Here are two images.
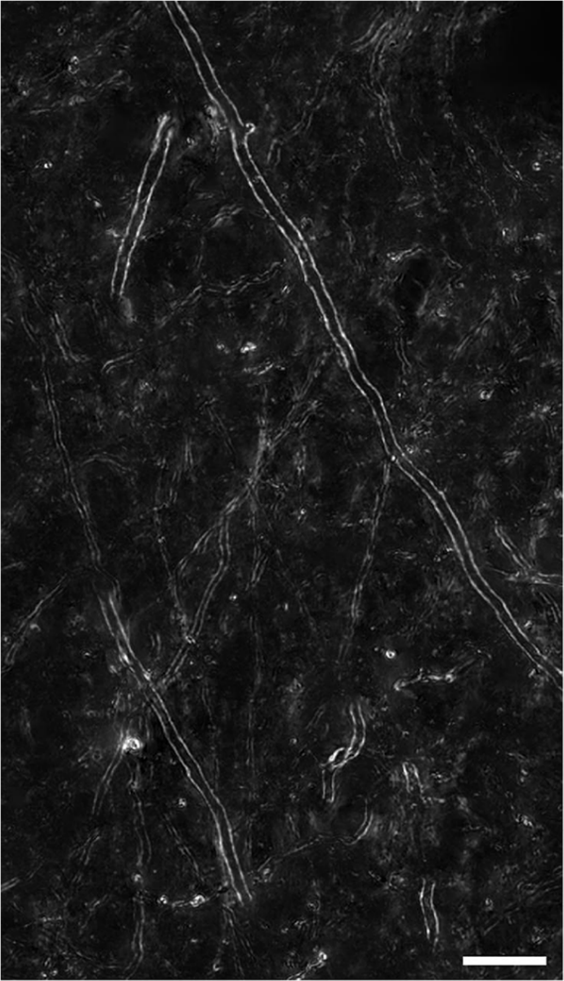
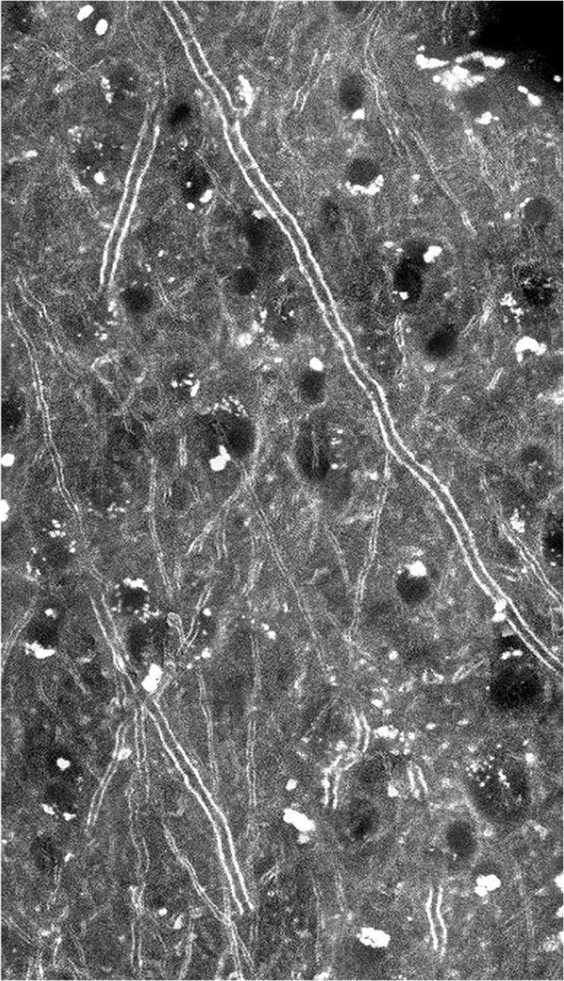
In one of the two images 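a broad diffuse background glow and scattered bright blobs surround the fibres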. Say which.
The second image.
